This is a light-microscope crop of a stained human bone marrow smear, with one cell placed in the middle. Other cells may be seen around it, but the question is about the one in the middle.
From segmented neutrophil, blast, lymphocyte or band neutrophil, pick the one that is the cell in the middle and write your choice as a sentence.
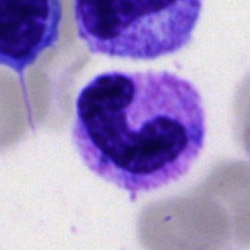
The middle of this crop is occupied by a band neutrophil.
